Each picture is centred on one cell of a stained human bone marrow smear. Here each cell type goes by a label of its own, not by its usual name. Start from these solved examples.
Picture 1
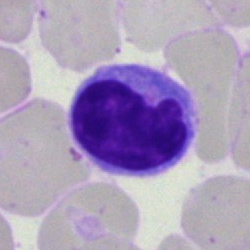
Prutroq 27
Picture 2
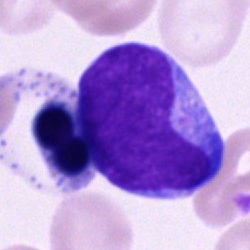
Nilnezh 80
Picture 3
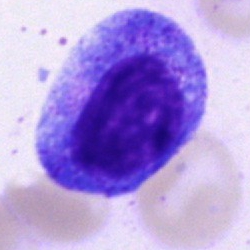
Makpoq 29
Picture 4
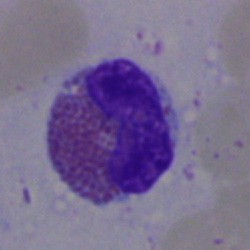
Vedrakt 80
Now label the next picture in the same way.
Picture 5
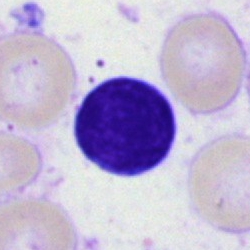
Prutroq 27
